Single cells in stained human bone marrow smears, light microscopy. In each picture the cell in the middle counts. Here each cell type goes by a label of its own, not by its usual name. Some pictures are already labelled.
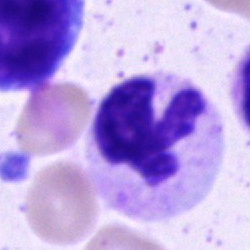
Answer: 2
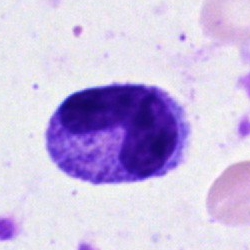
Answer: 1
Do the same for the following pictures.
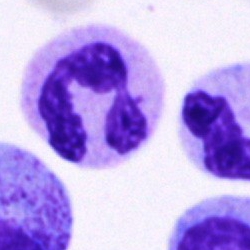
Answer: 2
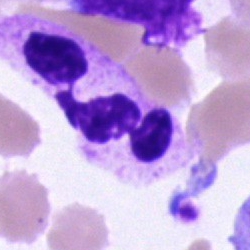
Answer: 2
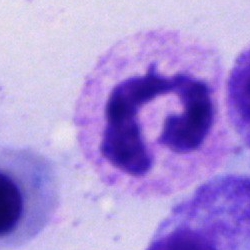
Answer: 2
